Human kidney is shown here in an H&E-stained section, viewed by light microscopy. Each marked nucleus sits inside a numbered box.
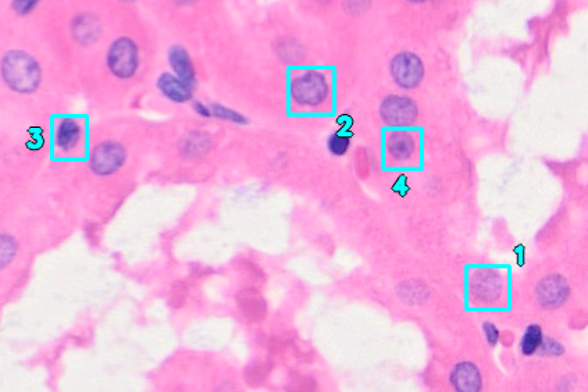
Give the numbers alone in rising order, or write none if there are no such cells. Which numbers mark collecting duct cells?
none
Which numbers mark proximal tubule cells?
1, 2, 4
